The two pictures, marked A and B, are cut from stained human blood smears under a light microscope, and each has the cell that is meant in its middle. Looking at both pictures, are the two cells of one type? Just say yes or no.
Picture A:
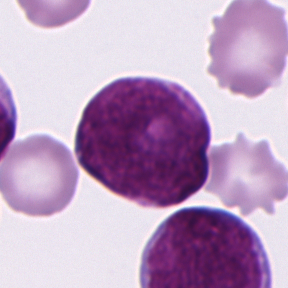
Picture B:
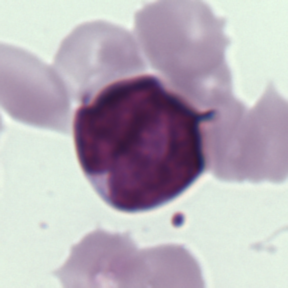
yes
